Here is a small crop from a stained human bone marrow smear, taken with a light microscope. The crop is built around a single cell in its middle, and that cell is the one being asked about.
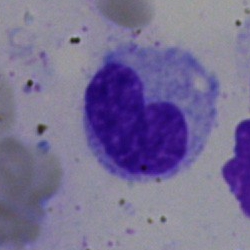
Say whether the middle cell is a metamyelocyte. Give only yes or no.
yes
